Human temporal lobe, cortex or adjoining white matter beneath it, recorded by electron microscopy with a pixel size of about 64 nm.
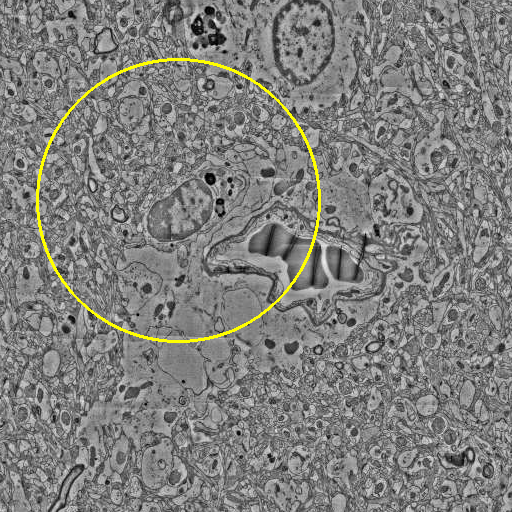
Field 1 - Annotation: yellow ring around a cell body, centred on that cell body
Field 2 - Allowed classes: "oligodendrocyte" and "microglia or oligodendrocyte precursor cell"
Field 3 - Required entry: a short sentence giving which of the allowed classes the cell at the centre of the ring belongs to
The centred cell is a microglial cell or oligodendrocyte precursor cell.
